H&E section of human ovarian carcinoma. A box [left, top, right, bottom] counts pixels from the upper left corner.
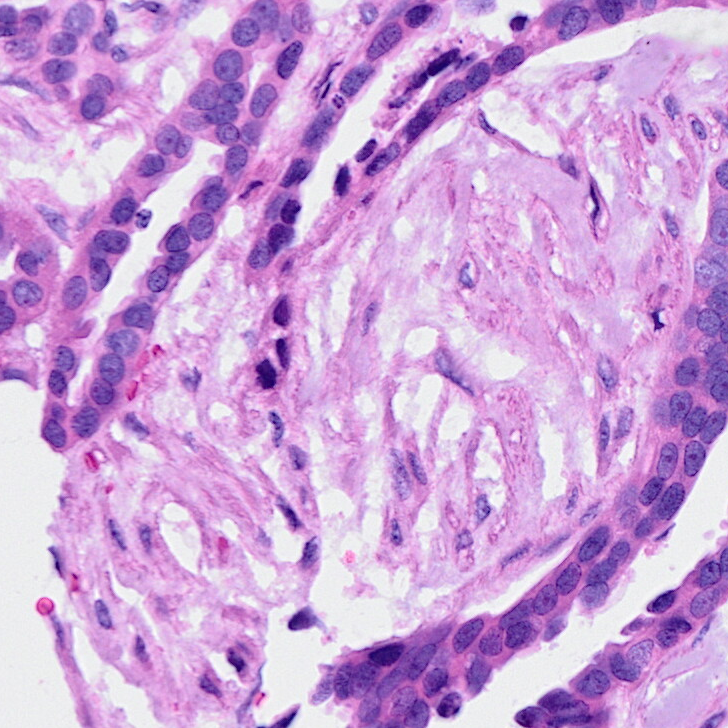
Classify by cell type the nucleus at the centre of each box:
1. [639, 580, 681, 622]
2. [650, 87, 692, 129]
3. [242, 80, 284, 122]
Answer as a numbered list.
1. carcinoma cell
2. fibroblast
3. carcinoma cell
